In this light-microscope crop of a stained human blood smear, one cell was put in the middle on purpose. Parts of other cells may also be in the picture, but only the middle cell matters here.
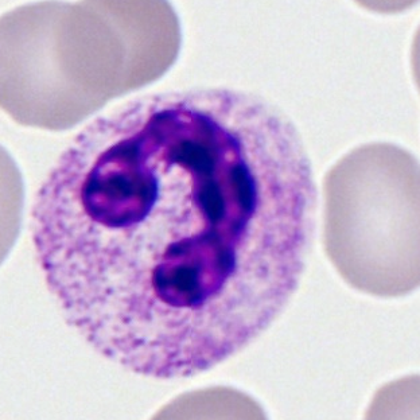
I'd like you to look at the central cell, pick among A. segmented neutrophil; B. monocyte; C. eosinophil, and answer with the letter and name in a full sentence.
The correct identification, given in option A, is that the central cell is a segmented neutrophil.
